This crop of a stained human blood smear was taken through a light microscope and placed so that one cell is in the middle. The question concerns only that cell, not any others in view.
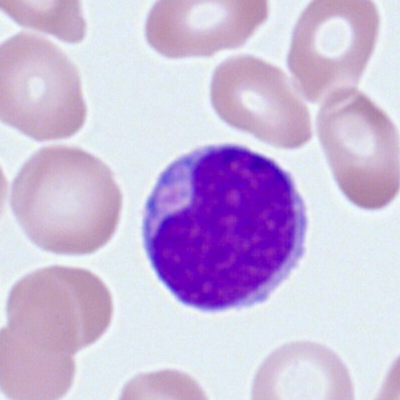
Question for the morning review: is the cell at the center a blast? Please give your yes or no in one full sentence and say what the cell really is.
Yes, the cell lying in the centre of the crop is identified as a blast.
